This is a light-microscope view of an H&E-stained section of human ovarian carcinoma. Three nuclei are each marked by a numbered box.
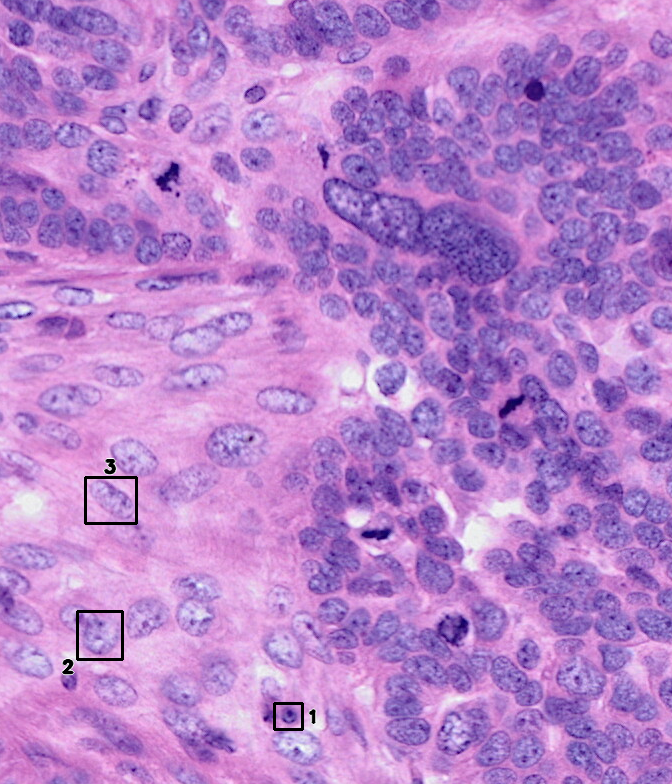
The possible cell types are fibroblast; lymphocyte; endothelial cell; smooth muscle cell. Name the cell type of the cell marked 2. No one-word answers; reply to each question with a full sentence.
The correct answer for cell 2 is a fibroblast.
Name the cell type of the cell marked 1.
It is as a lymphocyte that the cell numbered 1 is identified.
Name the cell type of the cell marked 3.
Classified as a fibroblast is the cell with the number 3.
